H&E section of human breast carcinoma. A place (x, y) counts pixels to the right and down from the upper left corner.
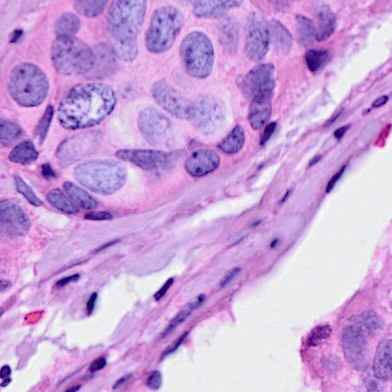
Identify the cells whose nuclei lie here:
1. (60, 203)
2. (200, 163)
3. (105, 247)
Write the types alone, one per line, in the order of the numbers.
carcinoma cell
carcinoma cell
fibroblast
